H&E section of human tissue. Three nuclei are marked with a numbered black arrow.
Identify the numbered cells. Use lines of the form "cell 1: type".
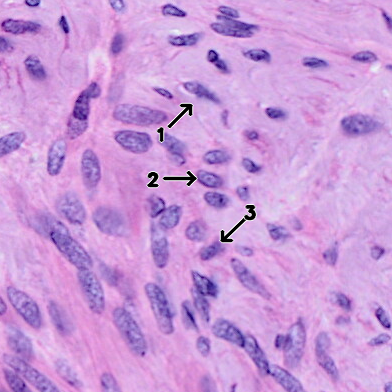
cell 1: fibroblast
cell 2: smooth muscle cell
cell 3: smooth muscle cell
